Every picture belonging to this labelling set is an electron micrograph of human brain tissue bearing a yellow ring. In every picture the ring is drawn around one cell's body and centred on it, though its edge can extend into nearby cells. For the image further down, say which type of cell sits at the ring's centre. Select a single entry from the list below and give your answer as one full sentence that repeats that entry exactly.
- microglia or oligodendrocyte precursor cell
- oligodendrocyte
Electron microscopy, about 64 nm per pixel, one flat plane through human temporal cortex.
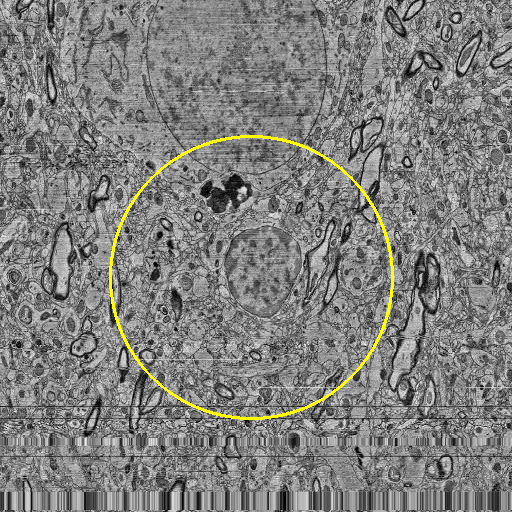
In the picture, a microglial cell or oligodendrocyte precursor cell is the cell at the centre of the yellow ring.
